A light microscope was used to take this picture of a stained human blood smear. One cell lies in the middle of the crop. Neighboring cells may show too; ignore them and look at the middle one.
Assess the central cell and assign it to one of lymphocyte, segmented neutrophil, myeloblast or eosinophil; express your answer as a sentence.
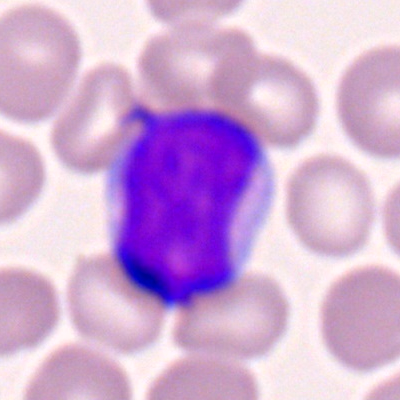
To answer, the cell in the center of the crop is a myeloblast.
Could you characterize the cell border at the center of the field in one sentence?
The cell margin is rough and uneven, either ragged or drawn into projections.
